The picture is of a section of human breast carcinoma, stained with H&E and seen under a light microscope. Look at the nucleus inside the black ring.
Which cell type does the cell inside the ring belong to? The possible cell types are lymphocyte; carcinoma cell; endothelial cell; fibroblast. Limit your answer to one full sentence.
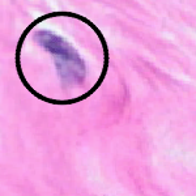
The correct response here is that the cell inside the ring is a fibroblast.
